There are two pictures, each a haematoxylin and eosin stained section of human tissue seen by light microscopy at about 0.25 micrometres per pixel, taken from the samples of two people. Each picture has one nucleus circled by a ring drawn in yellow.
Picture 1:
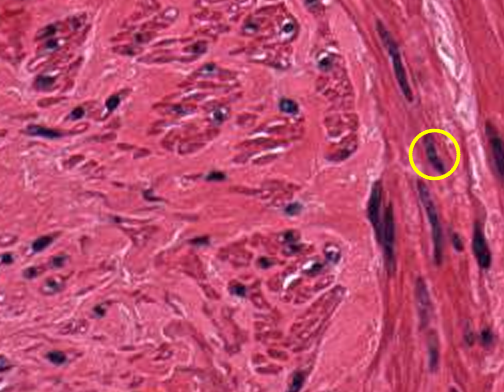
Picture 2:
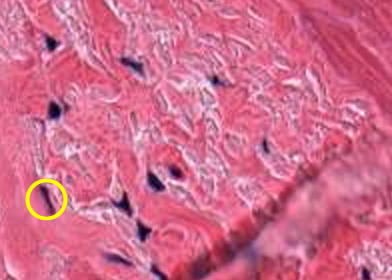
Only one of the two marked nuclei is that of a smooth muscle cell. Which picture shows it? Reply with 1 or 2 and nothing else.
1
